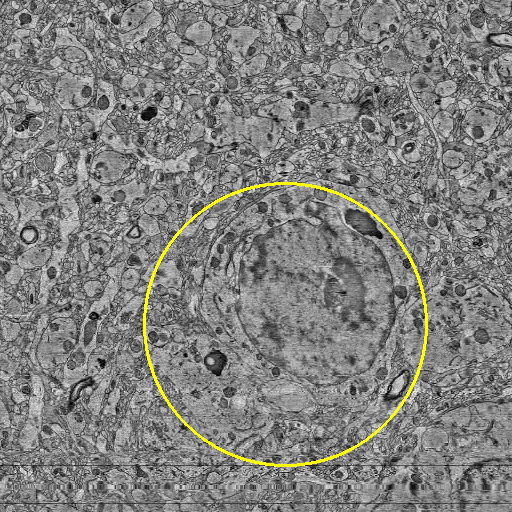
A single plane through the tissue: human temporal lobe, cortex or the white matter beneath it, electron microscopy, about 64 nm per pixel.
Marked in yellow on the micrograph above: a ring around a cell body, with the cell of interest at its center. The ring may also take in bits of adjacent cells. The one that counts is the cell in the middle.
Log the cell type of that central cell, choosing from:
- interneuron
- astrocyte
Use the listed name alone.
interneuron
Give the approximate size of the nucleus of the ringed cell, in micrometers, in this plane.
In this plane the nucleus measures roughly 11 micrometres across.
